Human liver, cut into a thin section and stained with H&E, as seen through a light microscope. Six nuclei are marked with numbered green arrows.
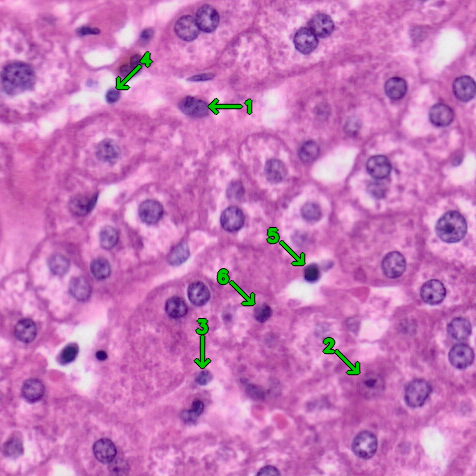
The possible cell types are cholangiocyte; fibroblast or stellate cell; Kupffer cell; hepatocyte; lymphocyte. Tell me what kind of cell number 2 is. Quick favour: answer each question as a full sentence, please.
The cell referenced by the number 2 is a hepatocyte in this field.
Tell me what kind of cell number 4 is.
Cell 4, as marked in the section, is a lymphocyte.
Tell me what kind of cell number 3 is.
The cell marked with the number 3 is a lymphocyte.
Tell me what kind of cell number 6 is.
Corresponding to a fibroblast or stellate cell is the cell labelled 6.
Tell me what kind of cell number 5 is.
Cell 5 in the field of view is a lymphocyte.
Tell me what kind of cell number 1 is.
The cell carrying label 1 is identified as a Kupffer cell.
